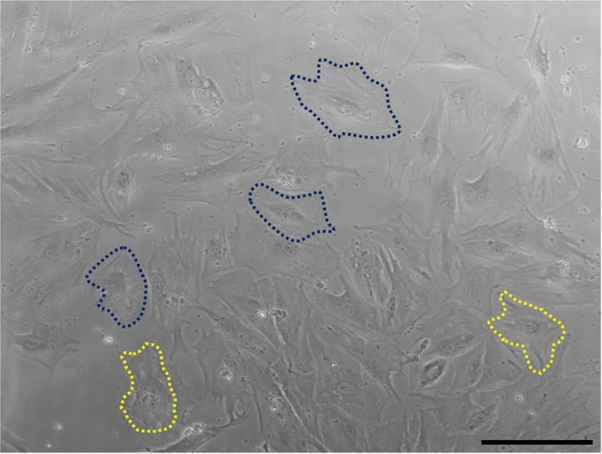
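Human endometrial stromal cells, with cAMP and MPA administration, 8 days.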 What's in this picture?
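Many contain a distinct, rounded nucleus near the centre, and some cells and their nuclei are noticeably larger than their neighbours. The cells no longer form aligned parallel streams but lie in a loose, irregular sheet.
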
